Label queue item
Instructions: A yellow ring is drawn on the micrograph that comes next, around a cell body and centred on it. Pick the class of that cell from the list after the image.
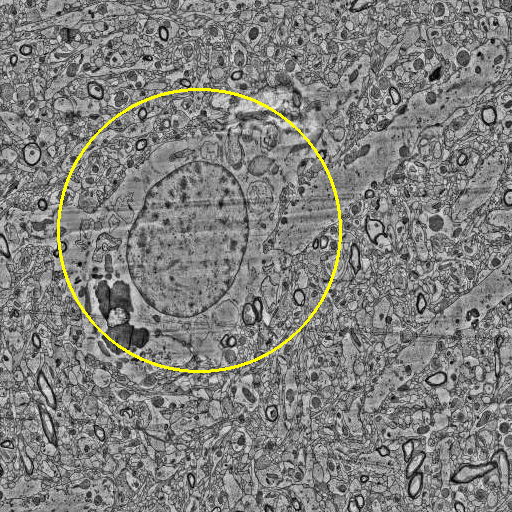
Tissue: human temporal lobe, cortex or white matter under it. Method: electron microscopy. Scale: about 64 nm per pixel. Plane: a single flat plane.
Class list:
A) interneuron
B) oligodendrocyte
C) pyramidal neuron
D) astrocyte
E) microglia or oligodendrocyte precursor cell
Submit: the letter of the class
D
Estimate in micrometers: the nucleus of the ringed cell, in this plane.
Roughly 10 by 7 micrometres in this plane, for the nucleus of the ringed cell.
